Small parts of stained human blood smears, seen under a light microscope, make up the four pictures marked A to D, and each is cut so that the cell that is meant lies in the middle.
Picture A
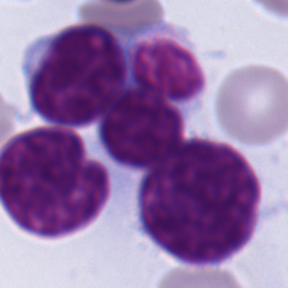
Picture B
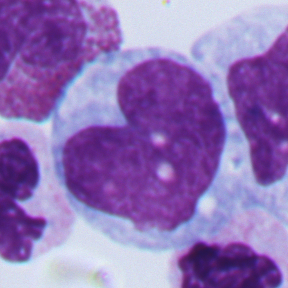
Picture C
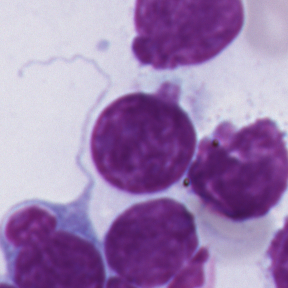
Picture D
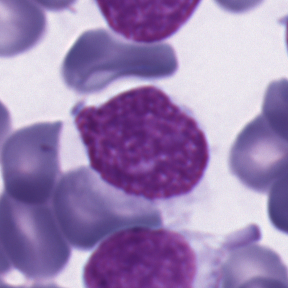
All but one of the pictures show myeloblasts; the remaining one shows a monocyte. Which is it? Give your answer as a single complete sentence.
The picture with the monocyte is B.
